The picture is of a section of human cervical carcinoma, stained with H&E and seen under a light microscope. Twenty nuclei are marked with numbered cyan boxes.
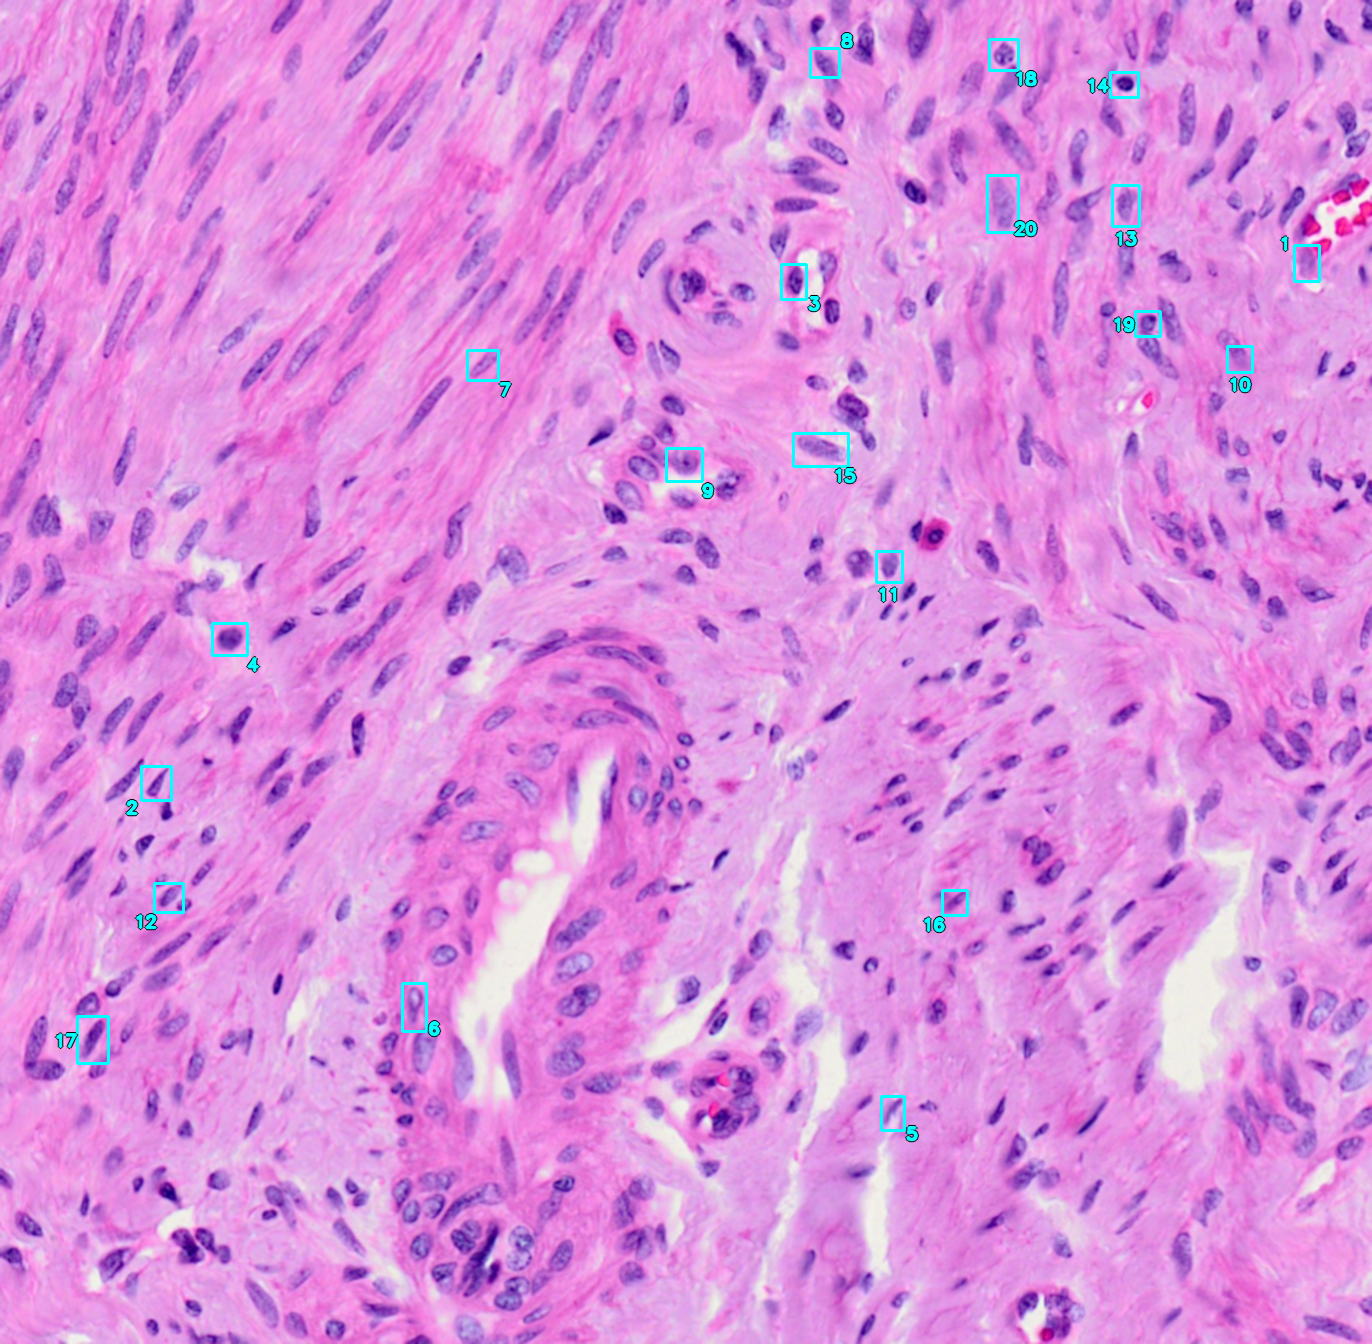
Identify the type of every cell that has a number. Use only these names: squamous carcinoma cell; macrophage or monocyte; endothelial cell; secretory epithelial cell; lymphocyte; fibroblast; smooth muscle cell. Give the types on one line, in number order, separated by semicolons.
endothelial cell; fibroblast; endothelial cell; lymphocyte; fibroblast; smooth muscle cell; smooth muscle cell; fibroblast; endothelial cell; smooth muscle cell; fibroblast; smooth muscle cell; smooth muscle cell; lymphocyte; fibroblast; smooth muscle cell; fibroblast; lymphocyte; smooth muscle cell; smooth muscle cell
